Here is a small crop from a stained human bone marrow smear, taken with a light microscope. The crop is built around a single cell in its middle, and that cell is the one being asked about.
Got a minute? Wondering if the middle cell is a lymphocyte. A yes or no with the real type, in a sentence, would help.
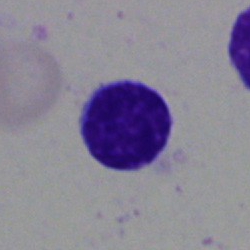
Yes, as for the central cell, it is a lymphocyte.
